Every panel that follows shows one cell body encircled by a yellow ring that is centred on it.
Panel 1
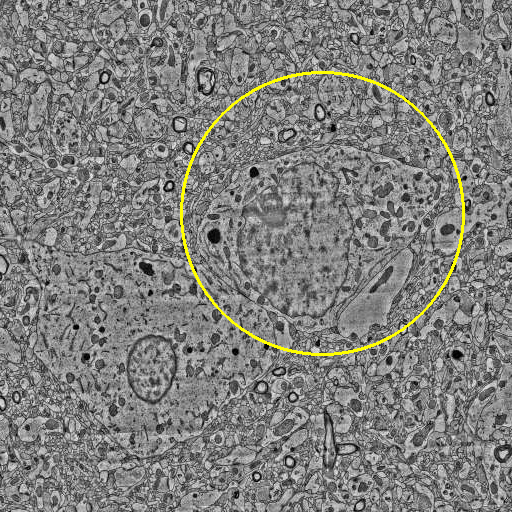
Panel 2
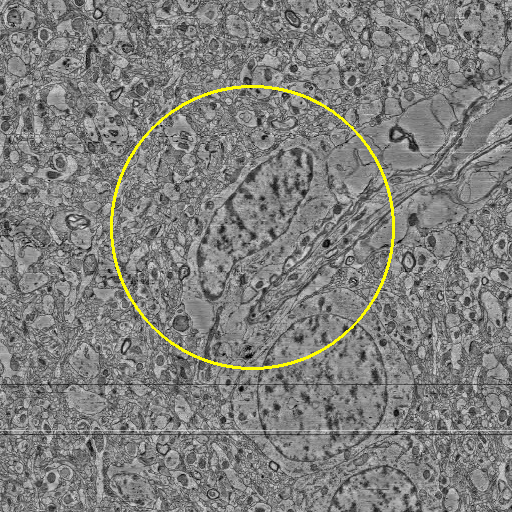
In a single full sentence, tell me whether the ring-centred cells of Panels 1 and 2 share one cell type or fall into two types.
In Panel 1 and Panel 2, the cells at the ring centres fall into two types.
